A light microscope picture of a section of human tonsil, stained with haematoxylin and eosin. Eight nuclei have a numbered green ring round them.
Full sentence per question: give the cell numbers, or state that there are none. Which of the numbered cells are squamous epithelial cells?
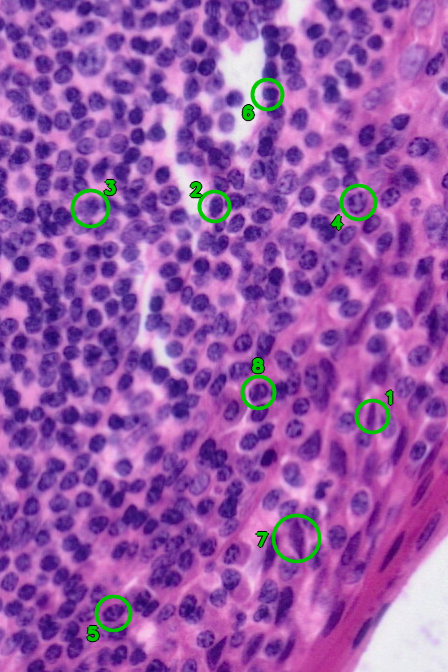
Cells that were given the numbers 1 and 7 are squamous epithelial cells.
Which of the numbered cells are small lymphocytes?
Regarding the numbered cells 2, 3 and 6, these are small lymphocytes.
